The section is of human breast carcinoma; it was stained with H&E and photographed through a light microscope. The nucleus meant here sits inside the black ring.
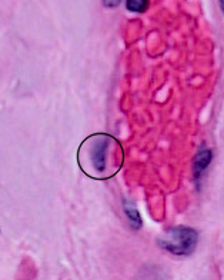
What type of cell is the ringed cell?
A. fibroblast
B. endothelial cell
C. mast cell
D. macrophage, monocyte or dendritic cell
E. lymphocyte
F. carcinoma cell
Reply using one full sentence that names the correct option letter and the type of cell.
Identified correctly by option B, the ringed cell is an endothelial cell.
